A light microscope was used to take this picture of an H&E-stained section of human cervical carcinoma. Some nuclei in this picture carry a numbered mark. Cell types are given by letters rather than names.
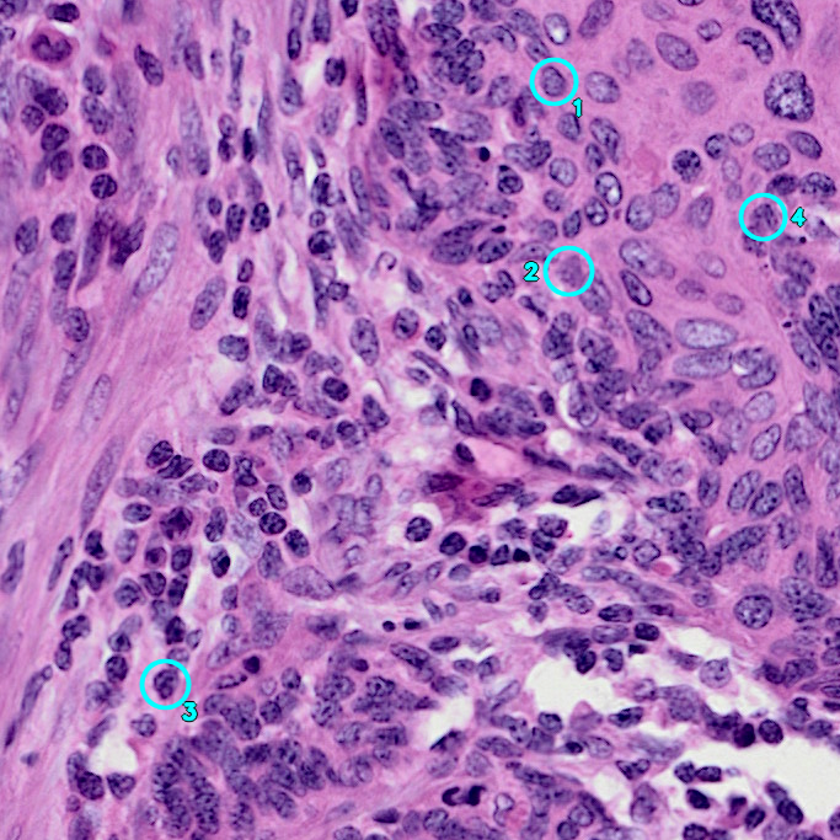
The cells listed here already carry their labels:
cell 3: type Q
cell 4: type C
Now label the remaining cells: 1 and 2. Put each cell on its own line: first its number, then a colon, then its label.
1: type C
2: type C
